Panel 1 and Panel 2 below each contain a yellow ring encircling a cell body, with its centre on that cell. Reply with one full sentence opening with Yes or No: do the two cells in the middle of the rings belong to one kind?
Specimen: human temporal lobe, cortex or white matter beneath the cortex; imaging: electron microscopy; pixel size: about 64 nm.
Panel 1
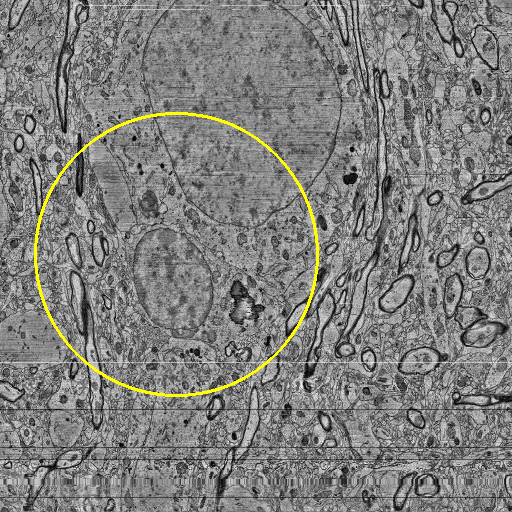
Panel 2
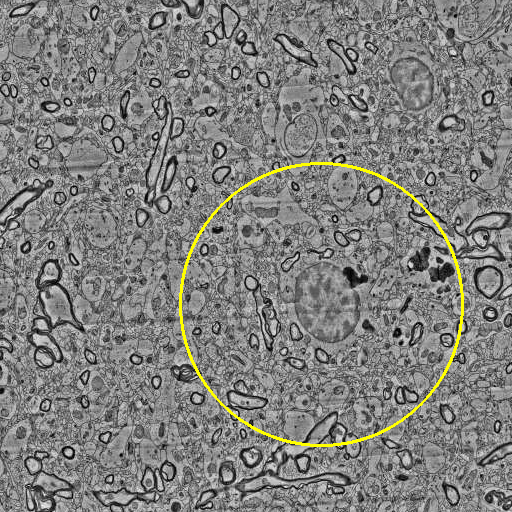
Yes, the cells at the middle of the Panel 1 ring and the Panel 2 ring are of one kind.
